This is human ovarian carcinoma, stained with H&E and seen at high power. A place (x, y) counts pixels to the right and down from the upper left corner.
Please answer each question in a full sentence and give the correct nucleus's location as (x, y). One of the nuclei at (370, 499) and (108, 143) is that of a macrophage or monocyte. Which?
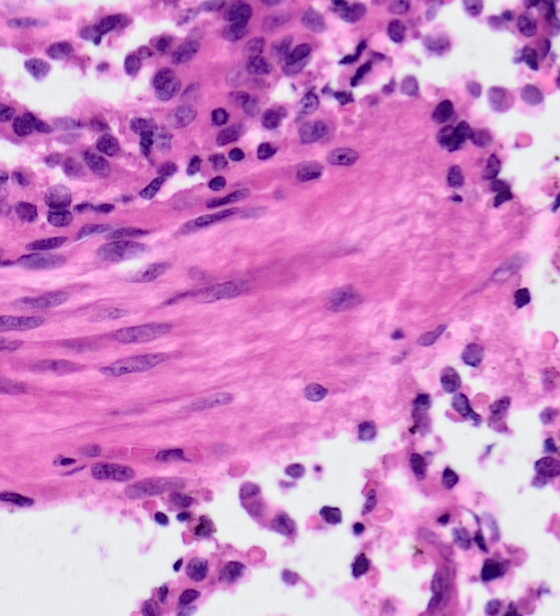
The nucleus at (370, 499) is identified as belonging to a macrophage or monocyte.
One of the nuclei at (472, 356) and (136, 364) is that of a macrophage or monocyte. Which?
Heads up, the nucleus at (472, 356) is the one that belongs to a macrophage or monocyte.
